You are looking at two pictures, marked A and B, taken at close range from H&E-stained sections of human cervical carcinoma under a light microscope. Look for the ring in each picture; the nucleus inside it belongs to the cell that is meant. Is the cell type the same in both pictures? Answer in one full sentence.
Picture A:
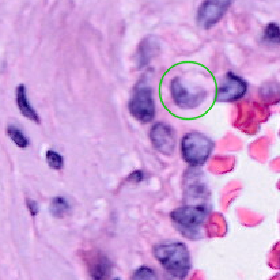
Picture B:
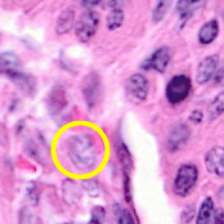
Yes, the two pictures both show endothelial cells.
